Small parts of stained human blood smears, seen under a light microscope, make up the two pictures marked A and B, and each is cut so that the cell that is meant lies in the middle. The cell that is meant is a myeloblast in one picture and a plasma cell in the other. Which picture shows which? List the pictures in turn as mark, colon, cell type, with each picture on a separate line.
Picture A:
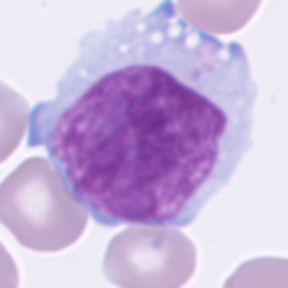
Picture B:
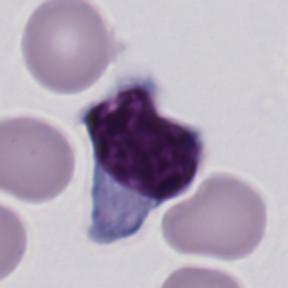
A: myeloblast
B: plasma cell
